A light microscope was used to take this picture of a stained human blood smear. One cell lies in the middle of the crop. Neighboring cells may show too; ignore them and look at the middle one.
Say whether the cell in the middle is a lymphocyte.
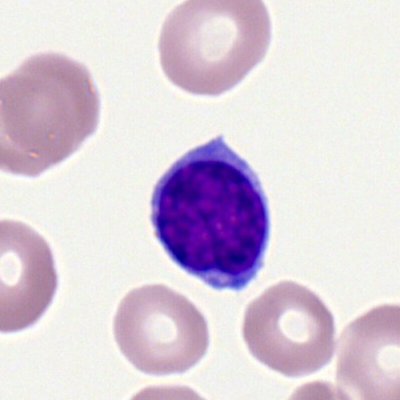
yes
